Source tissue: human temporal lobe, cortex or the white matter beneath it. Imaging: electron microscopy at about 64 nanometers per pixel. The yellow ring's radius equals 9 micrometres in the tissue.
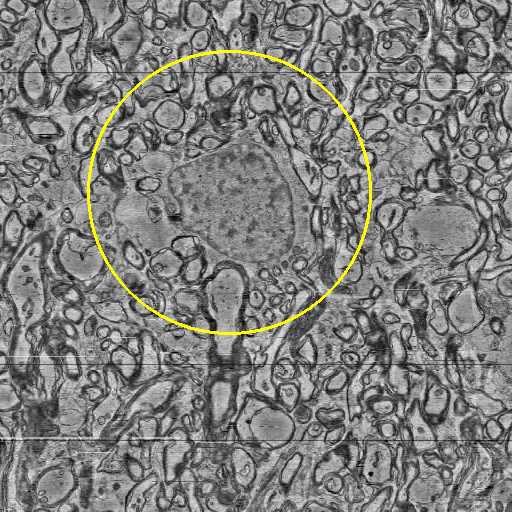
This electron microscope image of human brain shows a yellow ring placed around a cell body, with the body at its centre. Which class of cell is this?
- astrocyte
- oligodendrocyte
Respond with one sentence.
The cell body at the ring's centre is an oligodendrocyte.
